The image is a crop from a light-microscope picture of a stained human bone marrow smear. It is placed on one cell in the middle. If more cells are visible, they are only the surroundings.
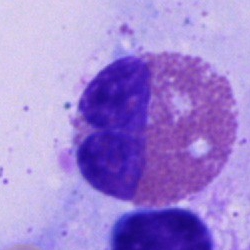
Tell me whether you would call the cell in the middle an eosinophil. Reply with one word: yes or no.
yes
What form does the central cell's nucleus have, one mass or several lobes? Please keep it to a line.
This cell has a nucleus made up of two or more segments.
